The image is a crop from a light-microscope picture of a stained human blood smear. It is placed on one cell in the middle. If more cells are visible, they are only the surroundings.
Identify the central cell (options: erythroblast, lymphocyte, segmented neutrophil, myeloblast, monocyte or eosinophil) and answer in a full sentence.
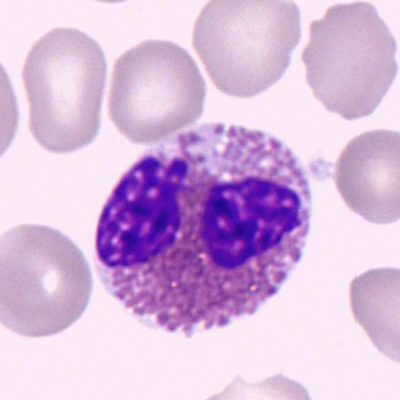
The cell found in the middle of this crop is an eosinophil.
